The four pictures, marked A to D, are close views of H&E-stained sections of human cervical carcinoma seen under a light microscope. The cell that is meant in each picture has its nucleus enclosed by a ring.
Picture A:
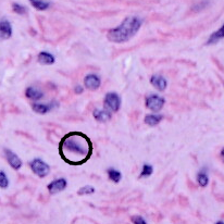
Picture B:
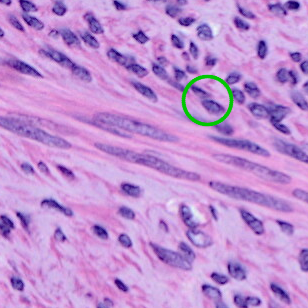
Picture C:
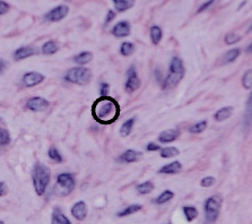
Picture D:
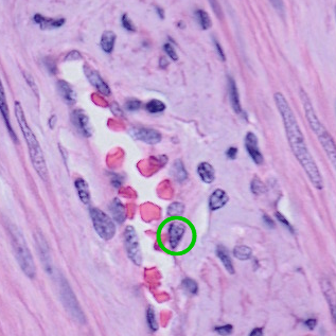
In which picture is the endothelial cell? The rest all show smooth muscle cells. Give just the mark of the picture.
D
